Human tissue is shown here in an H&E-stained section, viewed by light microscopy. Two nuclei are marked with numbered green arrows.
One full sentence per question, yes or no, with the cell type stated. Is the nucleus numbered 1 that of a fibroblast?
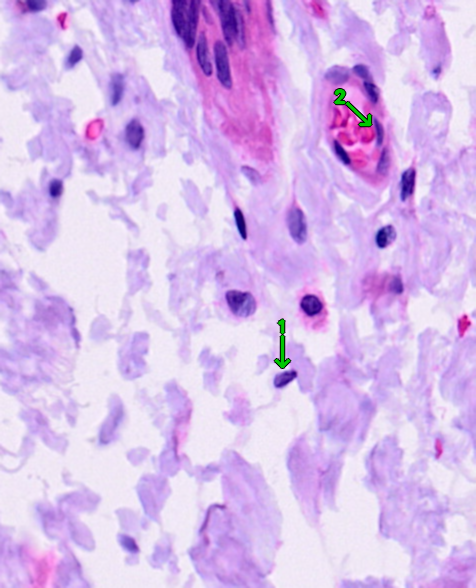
Yes, the cell marked by the number 1 is a fibroblast.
